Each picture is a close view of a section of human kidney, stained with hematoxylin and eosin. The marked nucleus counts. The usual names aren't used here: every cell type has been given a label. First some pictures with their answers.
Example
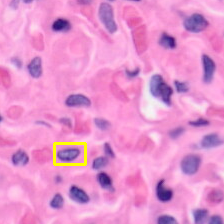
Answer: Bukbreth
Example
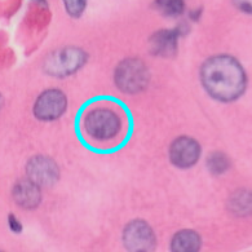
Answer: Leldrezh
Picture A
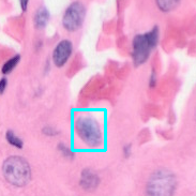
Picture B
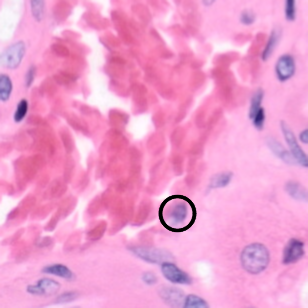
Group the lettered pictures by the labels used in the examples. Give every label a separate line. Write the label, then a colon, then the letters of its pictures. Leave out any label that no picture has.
Bukbreth: A, B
